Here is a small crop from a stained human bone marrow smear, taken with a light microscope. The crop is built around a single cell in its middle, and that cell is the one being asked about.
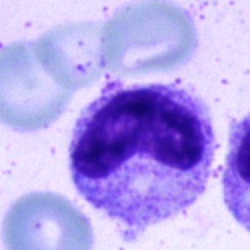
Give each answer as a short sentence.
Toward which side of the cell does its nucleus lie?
The nucleus is pushed toward the top of the cell.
